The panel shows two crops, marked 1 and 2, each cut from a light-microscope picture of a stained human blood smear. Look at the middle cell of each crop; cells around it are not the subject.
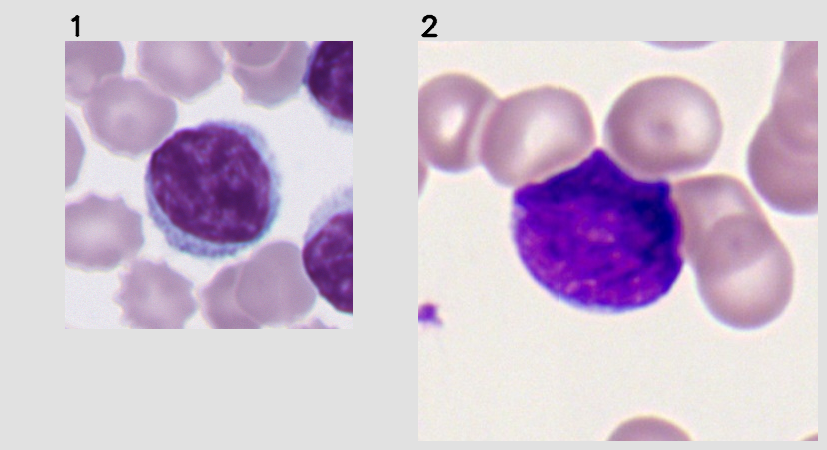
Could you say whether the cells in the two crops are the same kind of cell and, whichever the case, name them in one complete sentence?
No, crop 1 shows a lymphocyte, with a blast shown in crop 2.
